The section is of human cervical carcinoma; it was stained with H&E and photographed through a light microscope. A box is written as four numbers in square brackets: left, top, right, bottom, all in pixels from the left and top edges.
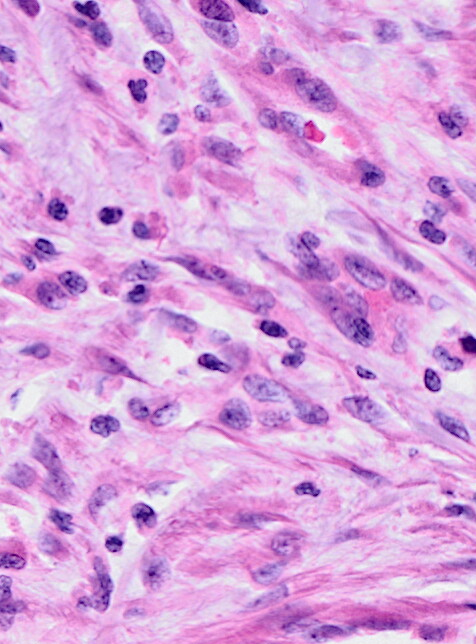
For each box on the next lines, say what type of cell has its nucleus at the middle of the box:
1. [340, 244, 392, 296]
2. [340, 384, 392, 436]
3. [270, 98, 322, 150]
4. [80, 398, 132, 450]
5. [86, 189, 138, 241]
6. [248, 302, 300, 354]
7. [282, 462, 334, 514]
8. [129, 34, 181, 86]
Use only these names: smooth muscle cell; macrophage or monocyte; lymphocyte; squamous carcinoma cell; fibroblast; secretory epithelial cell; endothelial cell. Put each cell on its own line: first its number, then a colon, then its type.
1: endothelial cell
2: fibroblast
3: endothelial cell
4: lymphocyte
5: lymphocyte
6: lymphocyte
7: lymphocyte
8: lymphocyte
